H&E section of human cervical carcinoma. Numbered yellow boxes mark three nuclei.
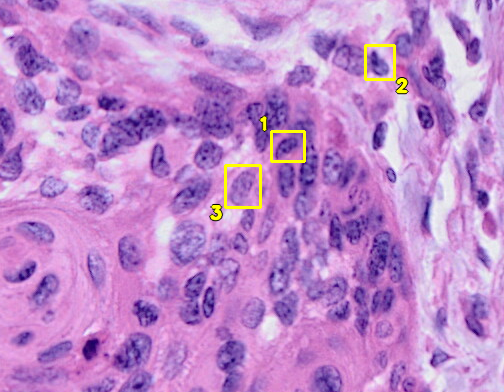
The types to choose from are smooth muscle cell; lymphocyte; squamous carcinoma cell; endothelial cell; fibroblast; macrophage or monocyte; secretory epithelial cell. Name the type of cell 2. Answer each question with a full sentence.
Looking at the numbered marks, cell 2 is a lymphocyte.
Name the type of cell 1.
In this section, number 1 marks a squamous carcinoma cell.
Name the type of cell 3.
The cell pointed out by number 3 is a squamous carcinoma cell.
